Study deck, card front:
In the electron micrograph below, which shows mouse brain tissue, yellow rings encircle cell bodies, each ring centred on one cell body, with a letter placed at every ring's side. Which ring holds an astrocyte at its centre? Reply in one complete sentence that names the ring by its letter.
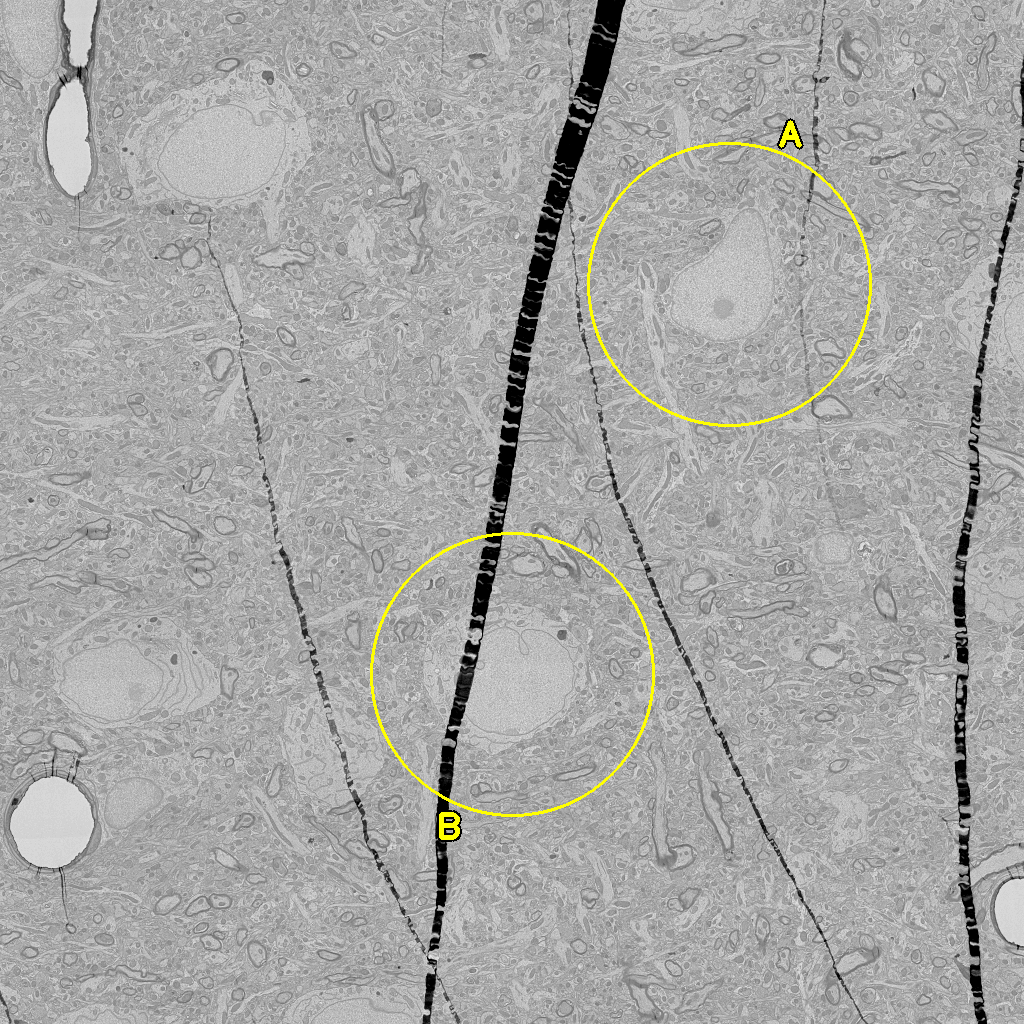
The cell asked for sits at the centre of ring A in the picture.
